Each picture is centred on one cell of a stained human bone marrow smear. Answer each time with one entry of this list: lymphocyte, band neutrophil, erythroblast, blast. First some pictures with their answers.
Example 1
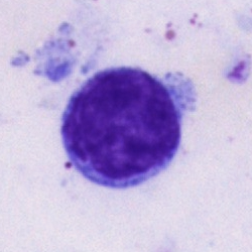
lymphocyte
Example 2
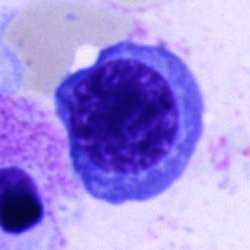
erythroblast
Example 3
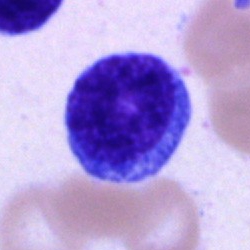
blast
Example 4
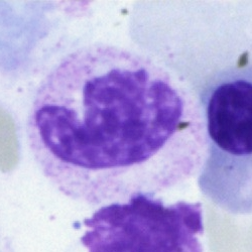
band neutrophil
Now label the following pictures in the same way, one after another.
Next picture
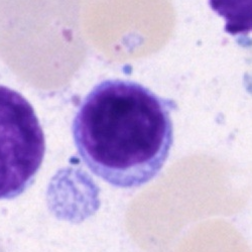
lymphocyte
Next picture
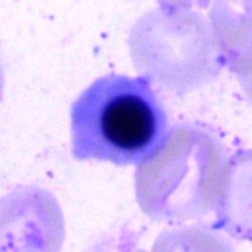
erythroblast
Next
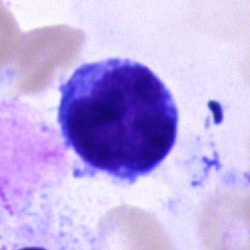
blast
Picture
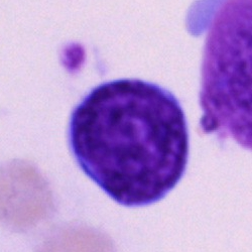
blast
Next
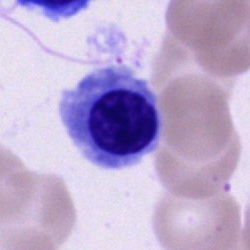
erythroblast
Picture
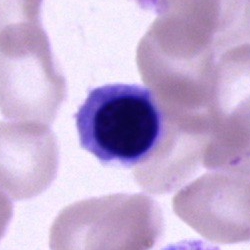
erythroblast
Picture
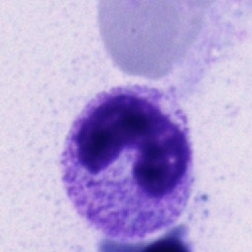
band neutrophil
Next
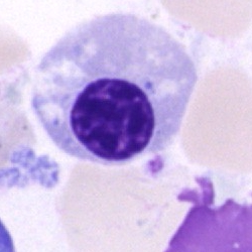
erythroblast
